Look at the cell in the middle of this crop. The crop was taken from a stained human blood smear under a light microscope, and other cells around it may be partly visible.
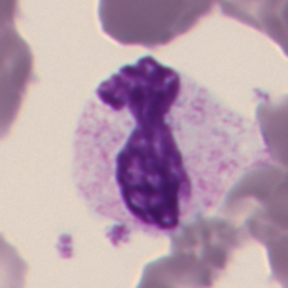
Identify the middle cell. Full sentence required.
Regarding the central cell, it is a neutrophil.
